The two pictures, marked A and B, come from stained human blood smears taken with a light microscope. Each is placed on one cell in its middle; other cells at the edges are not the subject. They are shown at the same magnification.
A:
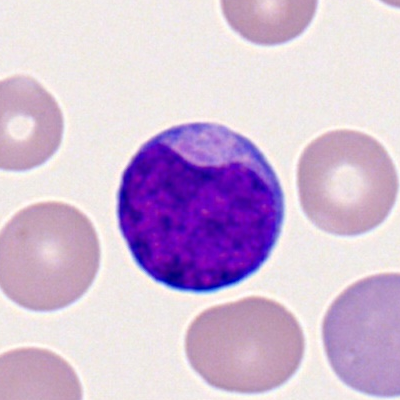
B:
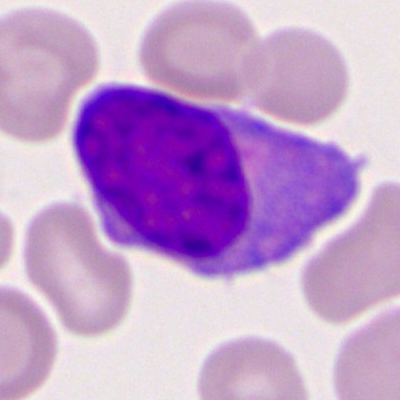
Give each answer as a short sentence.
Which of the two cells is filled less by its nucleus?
In crop B the nucleus takes up the smaller part of its cell.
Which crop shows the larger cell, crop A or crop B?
Larger is the cell in crop B, at roughly 1.5 times the area of the other.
